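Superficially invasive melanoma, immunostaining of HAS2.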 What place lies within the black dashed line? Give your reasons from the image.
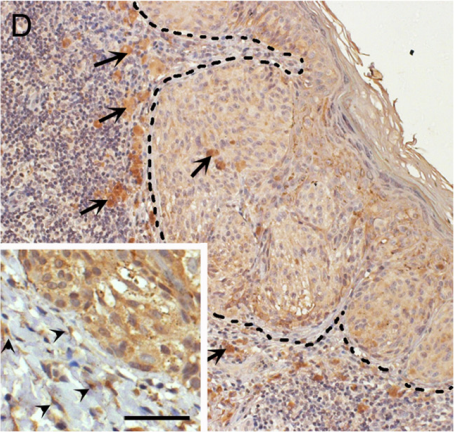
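The line separates brown-stained nests of large cells from a zone crowded with small blue nuclei. It follows the rounded outline of the nests.
Answer: the border between the tumor and the stroma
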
